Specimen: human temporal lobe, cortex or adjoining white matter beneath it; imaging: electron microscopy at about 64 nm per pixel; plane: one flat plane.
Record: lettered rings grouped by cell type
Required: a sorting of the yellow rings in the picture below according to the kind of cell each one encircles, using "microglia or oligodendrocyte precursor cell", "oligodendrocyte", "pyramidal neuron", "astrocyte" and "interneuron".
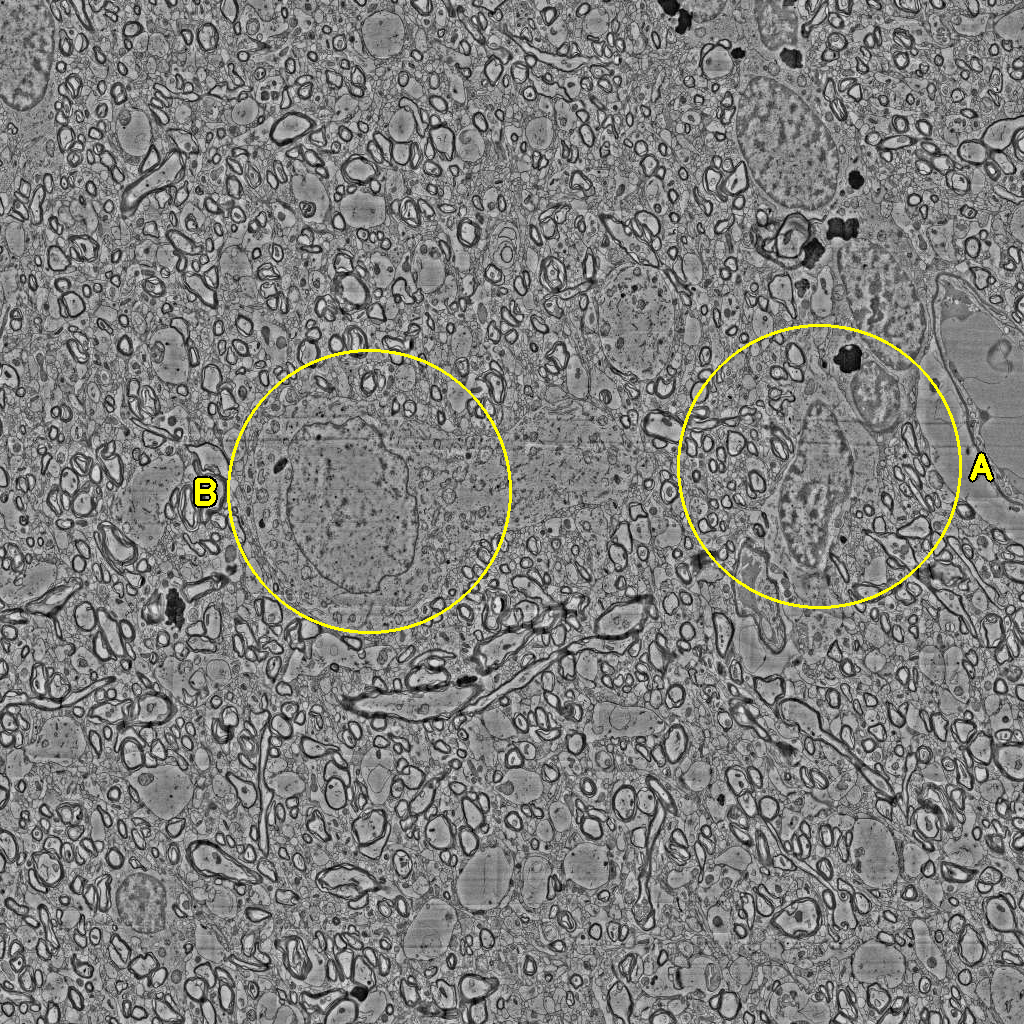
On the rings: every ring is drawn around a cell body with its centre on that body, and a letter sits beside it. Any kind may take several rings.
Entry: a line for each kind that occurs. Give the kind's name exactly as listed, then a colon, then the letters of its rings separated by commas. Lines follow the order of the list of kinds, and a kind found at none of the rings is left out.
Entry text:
microglia or oligodendrocyte precursor cell: A
pyramidal neuron: B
